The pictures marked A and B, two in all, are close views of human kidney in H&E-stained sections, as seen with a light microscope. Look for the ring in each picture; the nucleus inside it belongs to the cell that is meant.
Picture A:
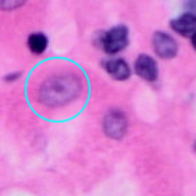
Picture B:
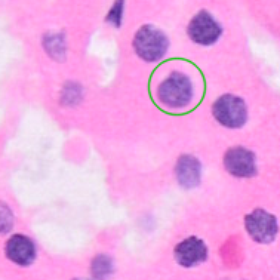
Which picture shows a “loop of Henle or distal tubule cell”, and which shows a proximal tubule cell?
A: proximal tubule cell
B: loop of Henle or distal tubule cell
